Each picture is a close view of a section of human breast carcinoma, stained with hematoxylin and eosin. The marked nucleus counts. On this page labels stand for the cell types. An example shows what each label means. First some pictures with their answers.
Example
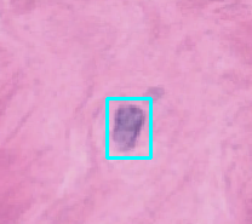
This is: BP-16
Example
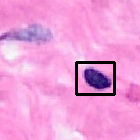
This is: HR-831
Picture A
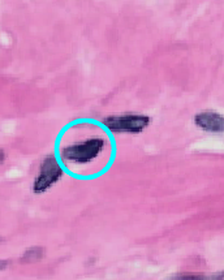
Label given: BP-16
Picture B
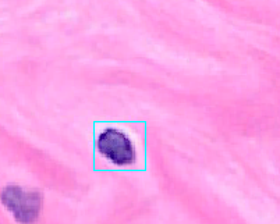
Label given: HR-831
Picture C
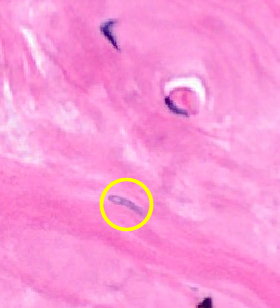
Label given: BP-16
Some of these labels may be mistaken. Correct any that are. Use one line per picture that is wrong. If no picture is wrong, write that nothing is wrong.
A: not BP-16 but HR-831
